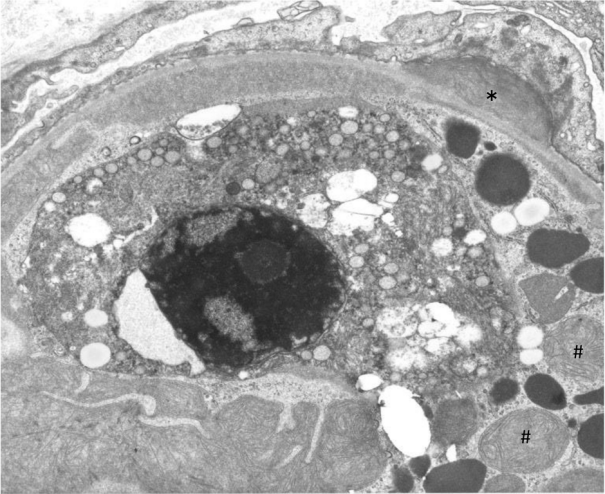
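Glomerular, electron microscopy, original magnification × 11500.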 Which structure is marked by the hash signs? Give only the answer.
Spherical structure.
